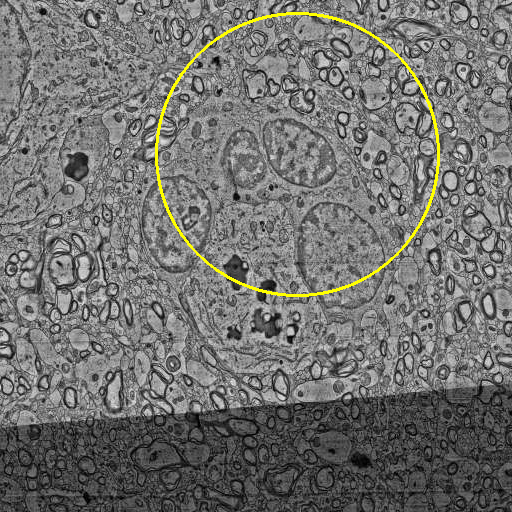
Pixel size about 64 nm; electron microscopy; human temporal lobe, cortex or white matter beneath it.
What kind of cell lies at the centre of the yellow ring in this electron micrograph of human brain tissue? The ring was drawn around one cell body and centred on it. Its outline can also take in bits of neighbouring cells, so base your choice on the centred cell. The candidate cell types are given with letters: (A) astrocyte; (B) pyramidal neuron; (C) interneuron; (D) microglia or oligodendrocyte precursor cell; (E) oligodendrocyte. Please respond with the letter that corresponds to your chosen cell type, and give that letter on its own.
E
